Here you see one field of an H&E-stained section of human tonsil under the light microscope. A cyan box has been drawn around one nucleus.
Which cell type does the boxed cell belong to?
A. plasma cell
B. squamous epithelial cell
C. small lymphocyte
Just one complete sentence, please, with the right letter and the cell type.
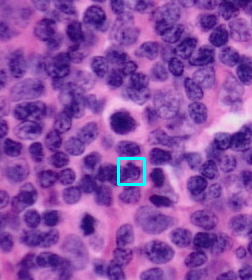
Option C properly identifies the boxed cell as a small lymphocyte.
